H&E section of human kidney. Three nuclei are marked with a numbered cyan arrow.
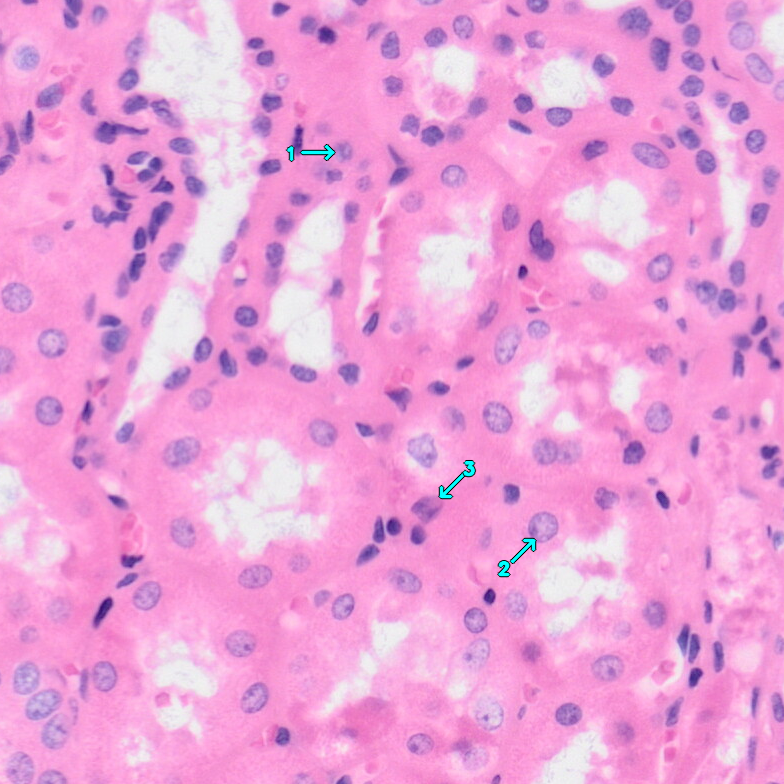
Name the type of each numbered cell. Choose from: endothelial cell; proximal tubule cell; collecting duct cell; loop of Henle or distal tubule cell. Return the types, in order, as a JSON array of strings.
["loop of Henle or distal tubule cell", "proximal tubule cell", "proximal tubule cell"]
